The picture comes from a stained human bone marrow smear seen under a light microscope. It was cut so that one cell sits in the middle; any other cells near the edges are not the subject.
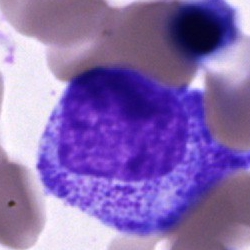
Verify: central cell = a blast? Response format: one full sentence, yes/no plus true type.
No, the central cell qualifies as a promyelocyte rather than as a blast.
